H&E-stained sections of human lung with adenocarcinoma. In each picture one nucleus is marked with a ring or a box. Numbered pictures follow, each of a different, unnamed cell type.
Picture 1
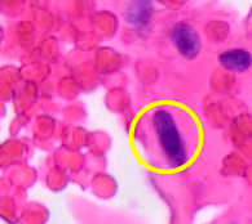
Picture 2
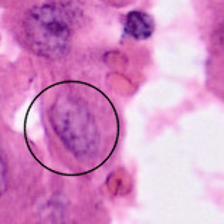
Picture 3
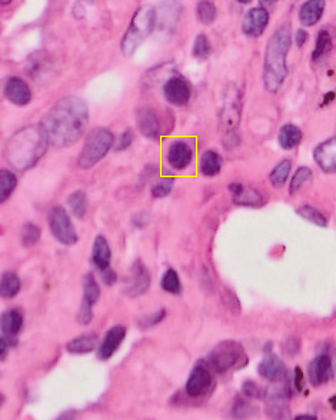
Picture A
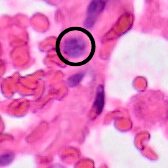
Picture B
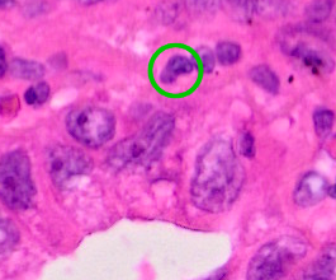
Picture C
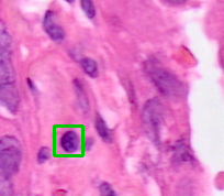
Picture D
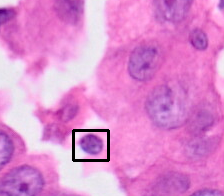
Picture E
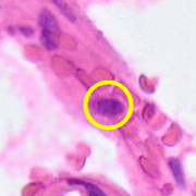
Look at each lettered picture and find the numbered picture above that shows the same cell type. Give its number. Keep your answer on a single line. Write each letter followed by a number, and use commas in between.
A 1, B 3, C 3, D 3, E 1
